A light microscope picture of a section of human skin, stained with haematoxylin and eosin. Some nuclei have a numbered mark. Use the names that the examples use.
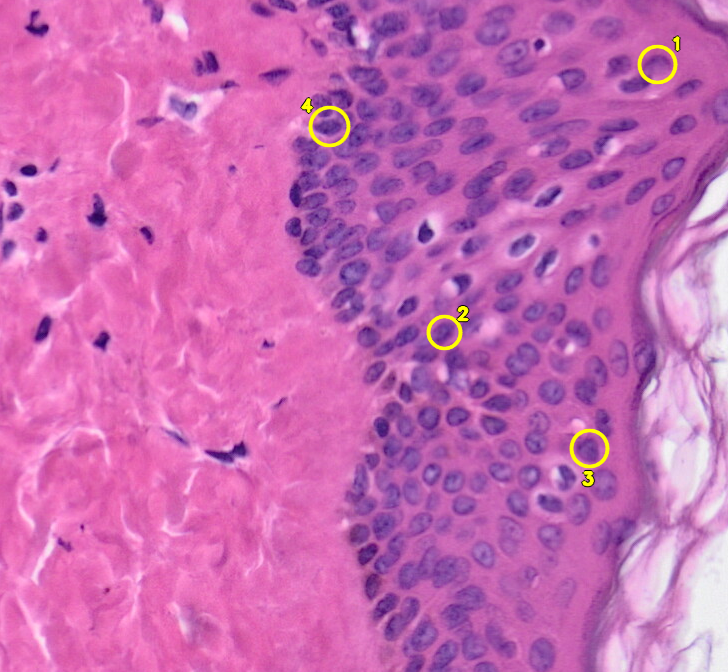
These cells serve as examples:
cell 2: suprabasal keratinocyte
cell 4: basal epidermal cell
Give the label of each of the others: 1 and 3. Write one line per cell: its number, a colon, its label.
1: suprabasal keratinocyte
3: suprabasal keratinocyte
